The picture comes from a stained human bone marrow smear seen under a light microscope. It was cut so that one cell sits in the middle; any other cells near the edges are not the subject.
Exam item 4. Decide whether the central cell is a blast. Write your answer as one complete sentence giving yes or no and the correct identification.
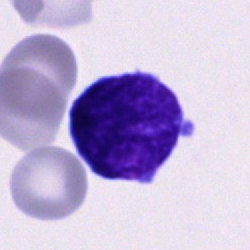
Yes, the cell at the centre of the field is a blast.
